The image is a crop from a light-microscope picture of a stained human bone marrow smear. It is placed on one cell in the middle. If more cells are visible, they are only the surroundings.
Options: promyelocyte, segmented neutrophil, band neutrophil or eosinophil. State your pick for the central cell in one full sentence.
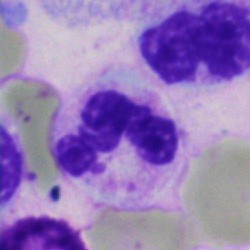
Looking at the middle of the crop, the cell there is a segmented neutrophil.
